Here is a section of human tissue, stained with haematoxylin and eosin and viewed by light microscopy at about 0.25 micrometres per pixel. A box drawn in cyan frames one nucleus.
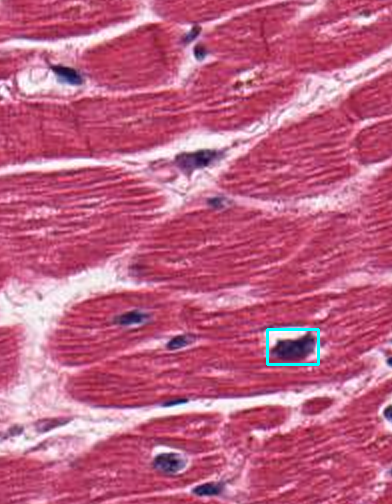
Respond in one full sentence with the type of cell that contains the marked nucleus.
The marked nucleus belongs to a cardiomyocyte.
